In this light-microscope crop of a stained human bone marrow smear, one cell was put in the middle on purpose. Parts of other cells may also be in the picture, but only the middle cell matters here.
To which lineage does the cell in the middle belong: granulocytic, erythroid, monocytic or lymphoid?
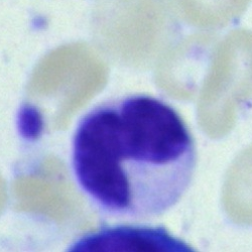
granulocytic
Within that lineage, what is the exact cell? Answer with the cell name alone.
band neutrophil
